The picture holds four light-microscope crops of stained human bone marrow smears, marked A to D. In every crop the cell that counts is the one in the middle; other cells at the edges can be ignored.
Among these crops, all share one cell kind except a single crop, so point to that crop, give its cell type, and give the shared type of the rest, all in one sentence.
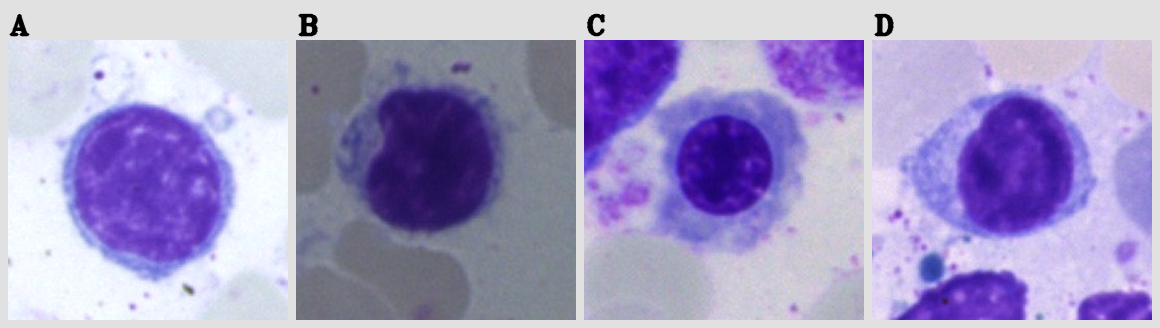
Only crop C differs, being an erythroblast, while the others all show lymphocytes.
